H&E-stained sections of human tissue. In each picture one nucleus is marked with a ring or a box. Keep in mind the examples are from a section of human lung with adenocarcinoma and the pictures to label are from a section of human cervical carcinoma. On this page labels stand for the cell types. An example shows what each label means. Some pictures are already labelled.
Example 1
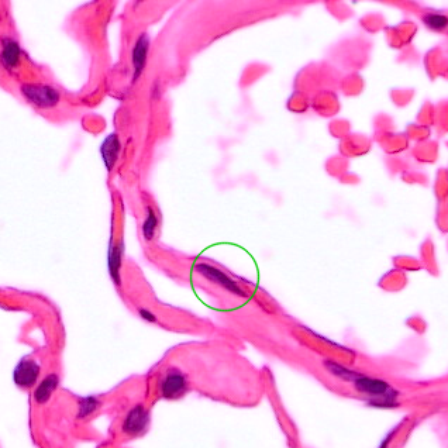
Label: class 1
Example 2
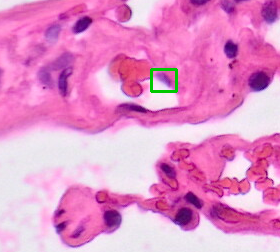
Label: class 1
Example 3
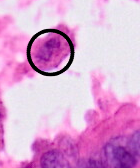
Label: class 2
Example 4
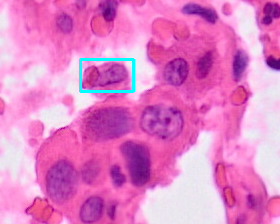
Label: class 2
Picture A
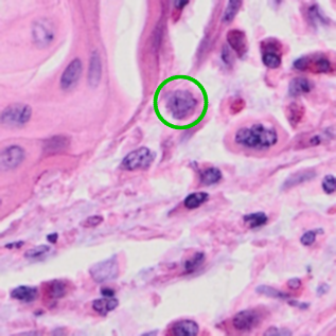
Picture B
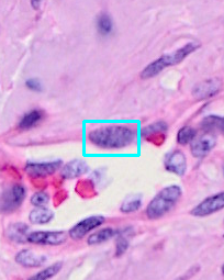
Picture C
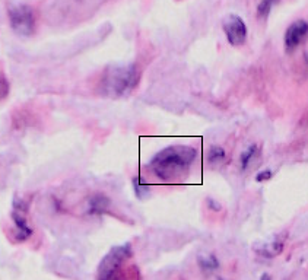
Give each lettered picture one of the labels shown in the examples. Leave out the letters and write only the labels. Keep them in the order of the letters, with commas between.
class 2, class 1, class 2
